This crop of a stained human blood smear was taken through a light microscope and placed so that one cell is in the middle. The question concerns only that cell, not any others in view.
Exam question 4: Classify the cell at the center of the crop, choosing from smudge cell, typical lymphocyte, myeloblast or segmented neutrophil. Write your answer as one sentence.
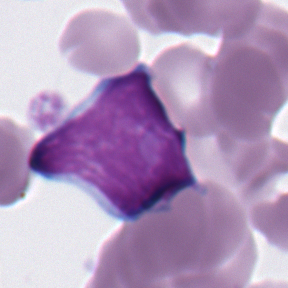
Here the cell in the middle is a typical lymphocyte.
